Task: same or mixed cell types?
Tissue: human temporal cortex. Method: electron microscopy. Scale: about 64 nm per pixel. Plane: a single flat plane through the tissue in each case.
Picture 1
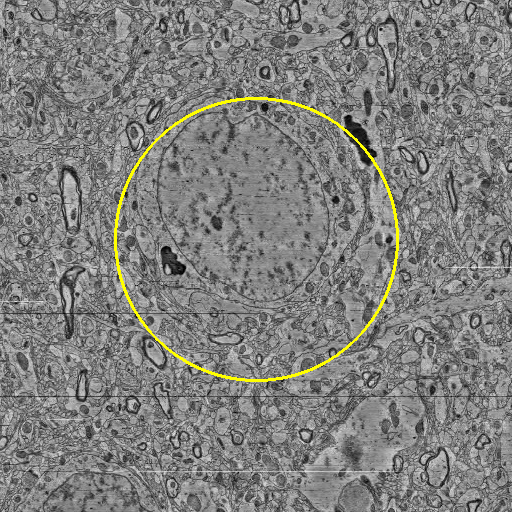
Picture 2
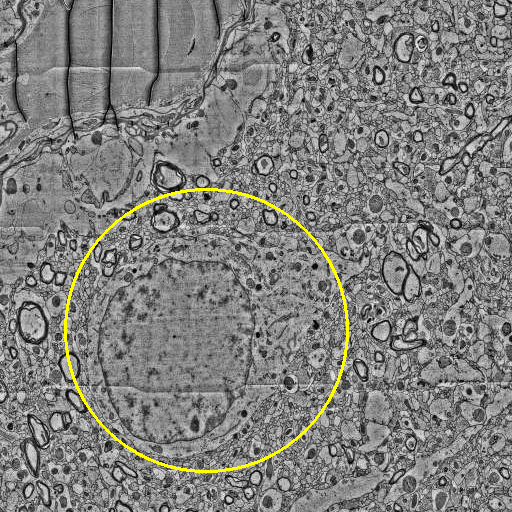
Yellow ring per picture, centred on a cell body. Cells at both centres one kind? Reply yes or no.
yes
